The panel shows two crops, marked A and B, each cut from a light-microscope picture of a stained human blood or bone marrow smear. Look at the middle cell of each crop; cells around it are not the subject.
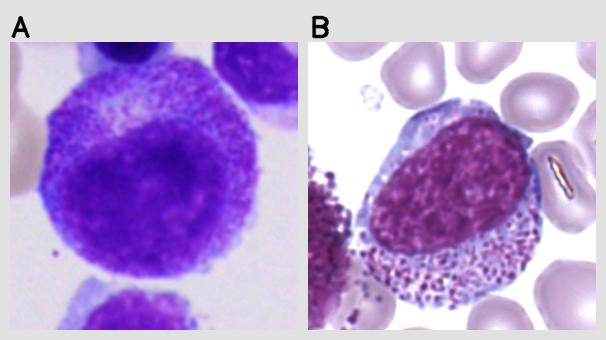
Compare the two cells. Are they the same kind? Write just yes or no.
yes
